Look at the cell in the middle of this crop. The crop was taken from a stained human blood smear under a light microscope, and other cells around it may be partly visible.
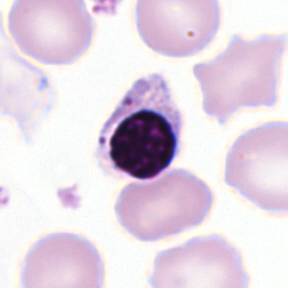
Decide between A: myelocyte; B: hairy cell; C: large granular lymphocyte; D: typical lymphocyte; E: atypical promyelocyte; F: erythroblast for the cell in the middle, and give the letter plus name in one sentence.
The centrally located cell is an erythroblast, making option F the correct choice.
